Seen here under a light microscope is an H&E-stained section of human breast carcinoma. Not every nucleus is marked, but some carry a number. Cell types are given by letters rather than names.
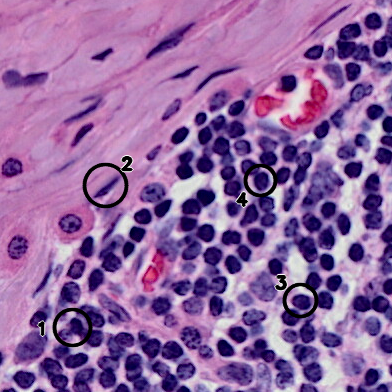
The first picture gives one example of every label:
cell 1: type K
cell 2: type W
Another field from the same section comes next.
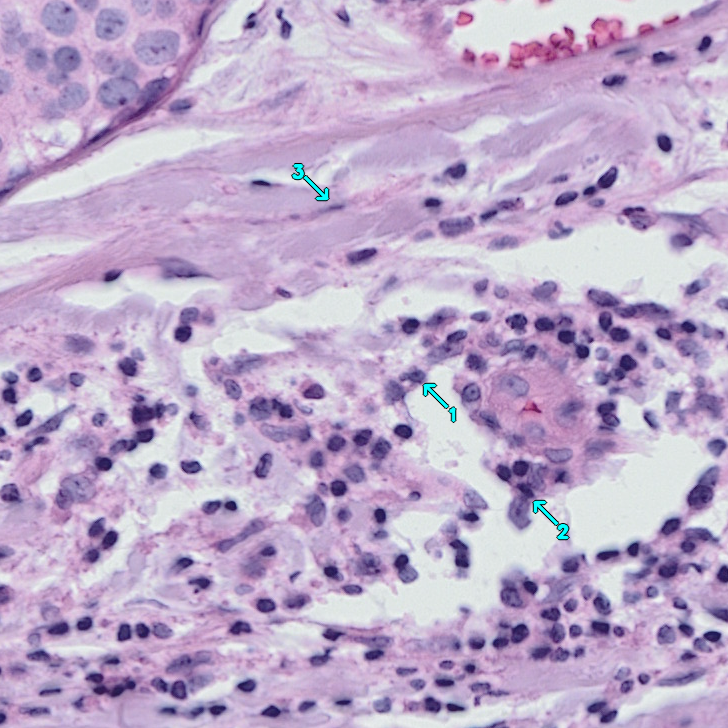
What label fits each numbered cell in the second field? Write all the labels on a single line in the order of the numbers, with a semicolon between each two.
type K; type K; type W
